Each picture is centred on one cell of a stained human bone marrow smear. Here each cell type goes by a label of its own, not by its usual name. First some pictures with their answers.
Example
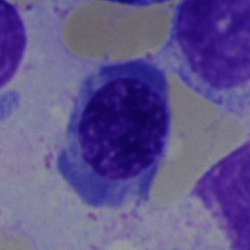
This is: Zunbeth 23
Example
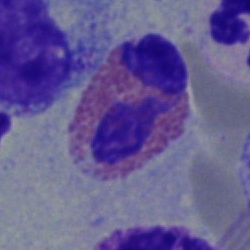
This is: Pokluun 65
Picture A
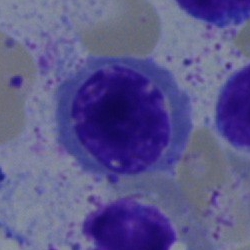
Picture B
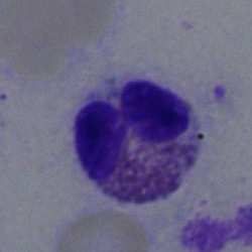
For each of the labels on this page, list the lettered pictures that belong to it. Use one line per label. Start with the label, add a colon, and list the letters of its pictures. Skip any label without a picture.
Zunbeth 23: A
Pokluun 65: B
